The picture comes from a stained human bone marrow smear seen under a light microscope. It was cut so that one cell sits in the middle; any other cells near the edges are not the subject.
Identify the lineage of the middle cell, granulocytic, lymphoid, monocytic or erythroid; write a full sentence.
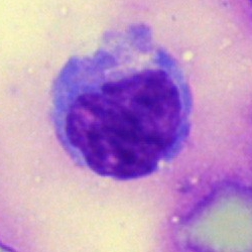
The lineage represented by the central cell is monocytic.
